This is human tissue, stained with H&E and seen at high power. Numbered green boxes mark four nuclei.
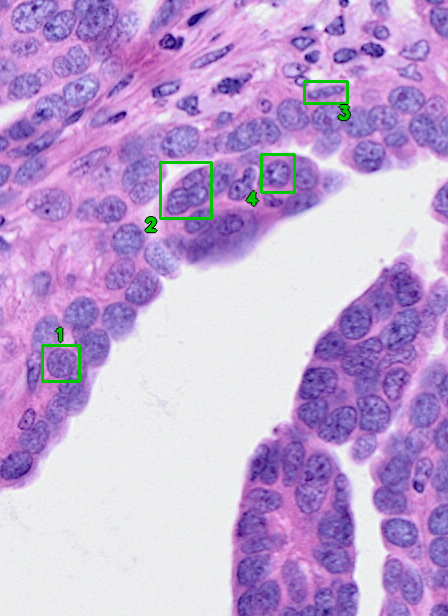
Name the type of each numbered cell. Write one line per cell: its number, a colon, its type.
1: carcinoma cell
2: carcinoma cell
3: fibroblast
4: carcinoma cell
